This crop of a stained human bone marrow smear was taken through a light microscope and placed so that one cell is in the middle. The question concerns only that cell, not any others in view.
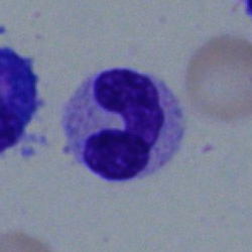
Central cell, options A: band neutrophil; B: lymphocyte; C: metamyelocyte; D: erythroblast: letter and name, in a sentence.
Option A is the right one, for the cell in the middle is a band neutrophil.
